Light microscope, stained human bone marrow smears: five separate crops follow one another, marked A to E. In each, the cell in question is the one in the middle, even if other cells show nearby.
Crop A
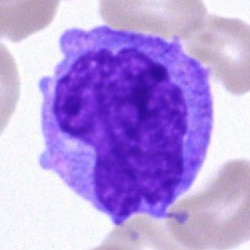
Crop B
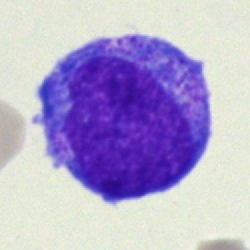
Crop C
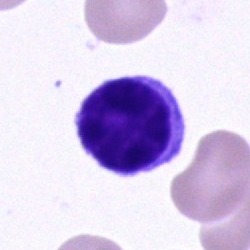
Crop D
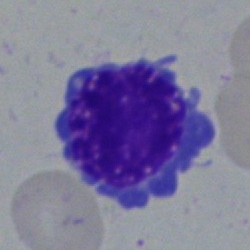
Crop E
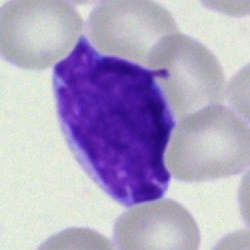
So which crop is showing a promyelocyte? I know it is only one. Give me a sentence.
Crop B is the one in this set that shows a promyelocyte.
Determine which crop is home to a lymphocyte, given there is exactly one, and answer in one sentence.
Only in crop C is a lymphocyte shown.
